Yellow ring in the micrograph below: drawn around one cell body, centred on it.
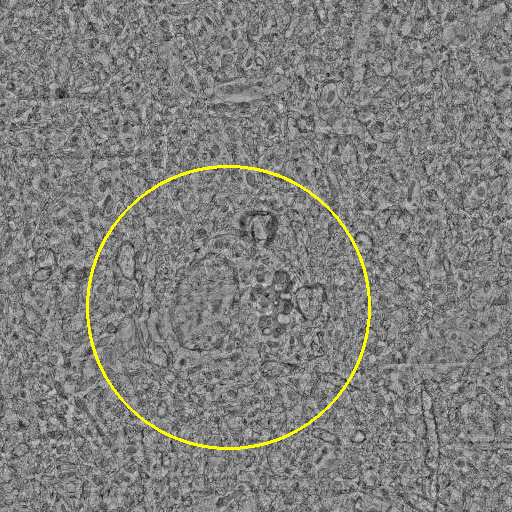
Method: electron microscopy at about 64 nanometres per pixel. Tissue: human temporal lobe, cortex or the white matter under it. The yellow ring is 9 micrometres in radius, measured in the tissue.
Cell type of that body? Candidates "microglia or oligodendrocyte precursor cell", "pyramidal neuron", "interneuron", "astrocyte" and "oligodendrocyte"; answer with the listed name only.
interneuron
